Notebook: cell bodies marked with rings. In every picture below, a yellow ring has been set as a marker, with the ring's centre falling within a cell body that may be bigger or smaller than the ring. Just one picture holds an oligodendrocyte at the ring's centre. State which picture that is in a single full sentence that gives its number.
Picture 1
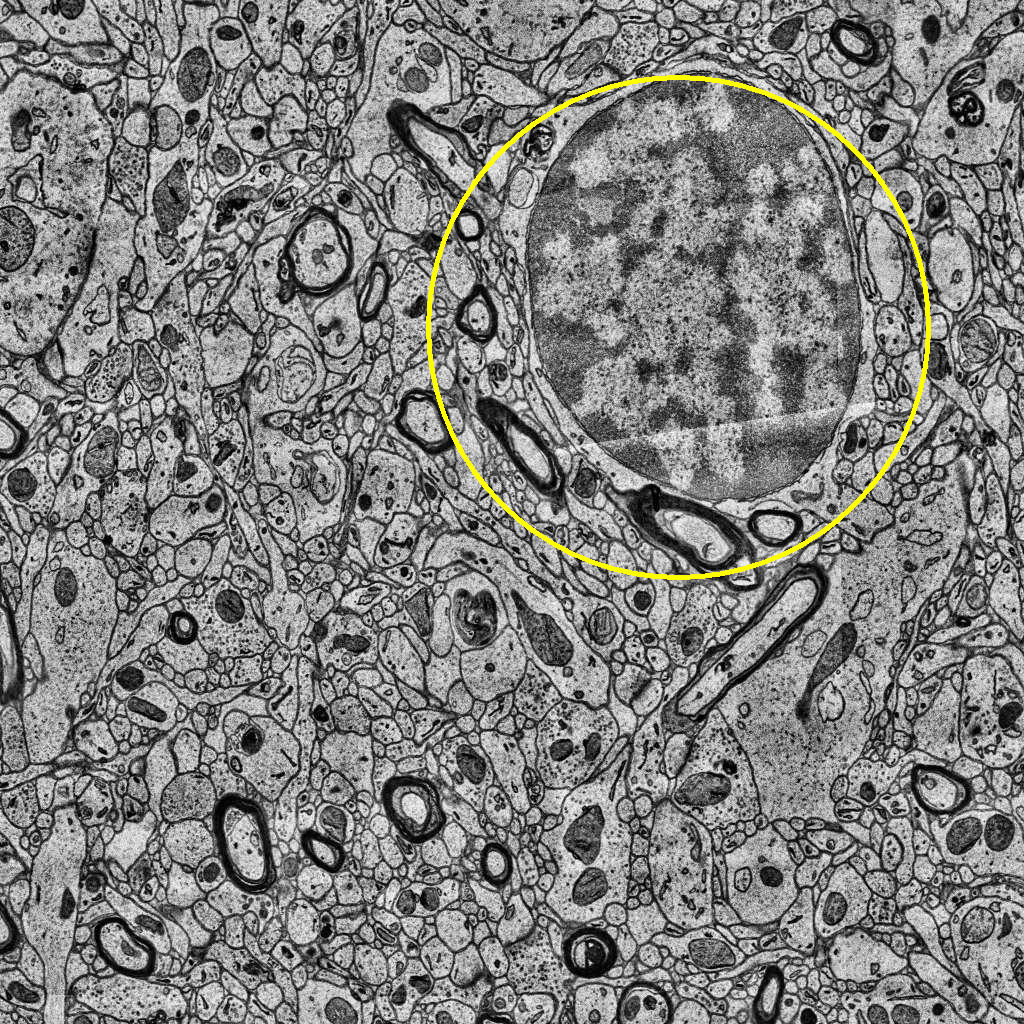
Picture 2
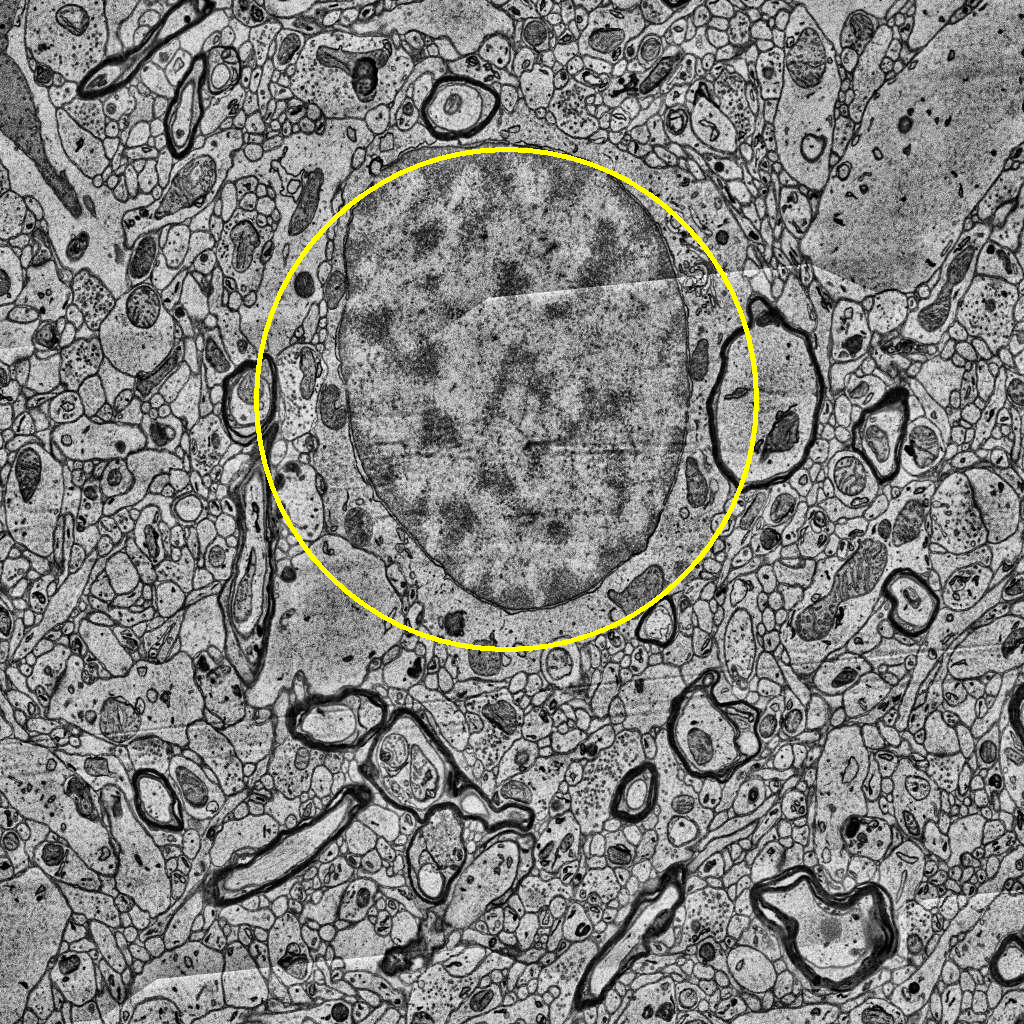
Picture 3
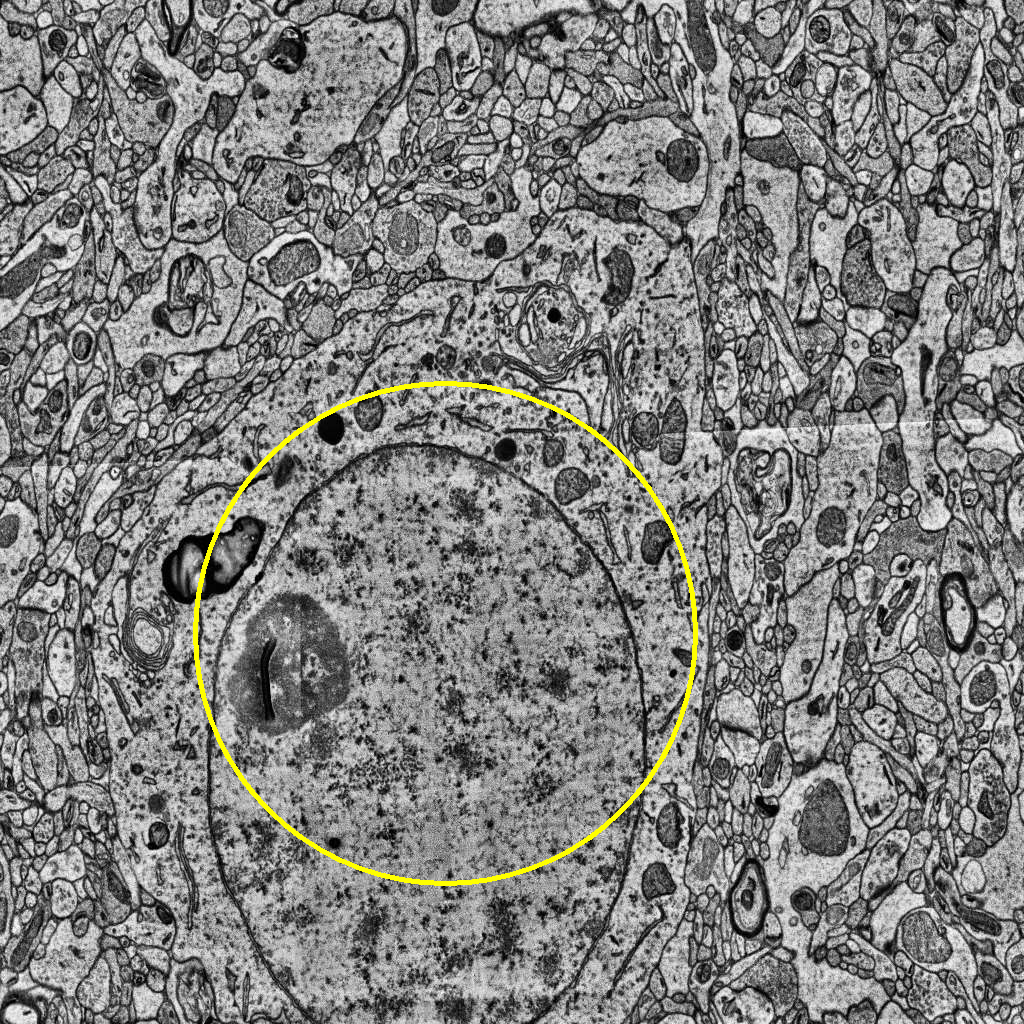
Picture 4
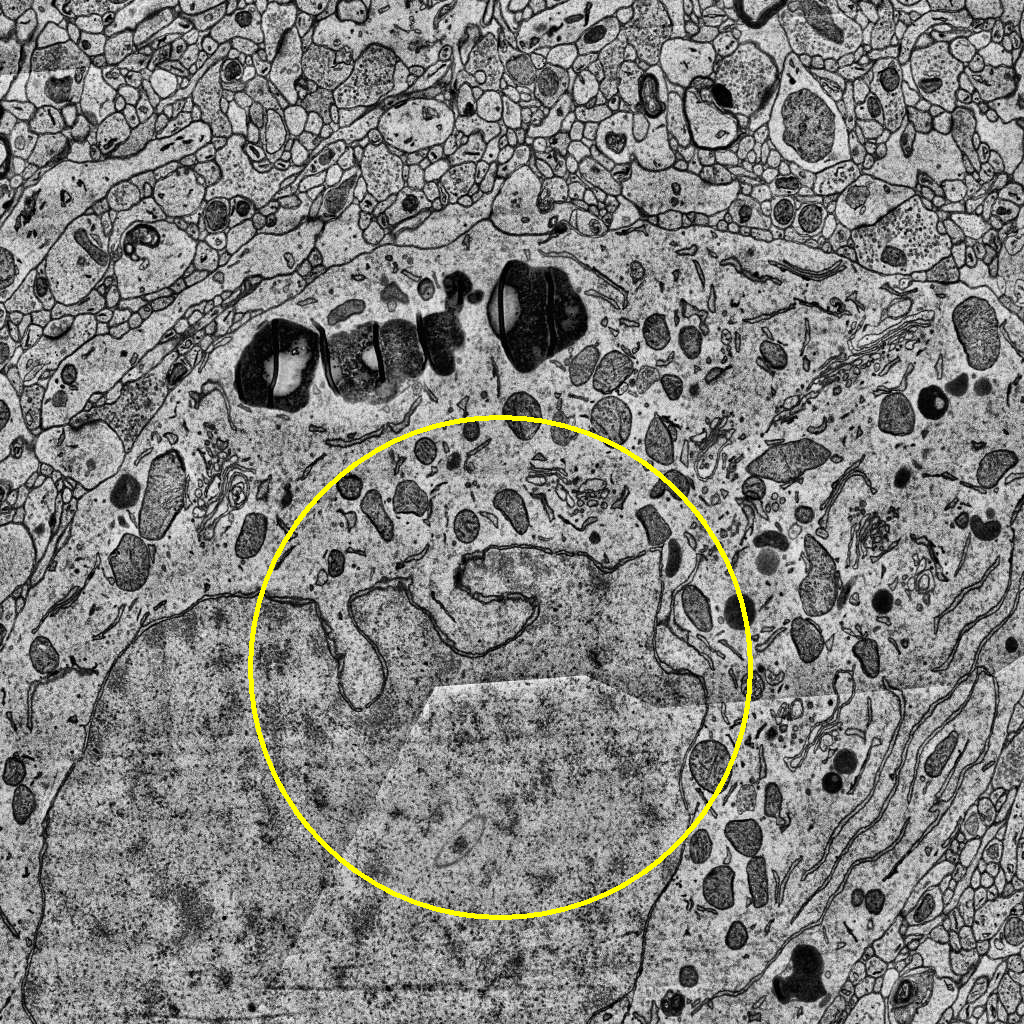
It is picture 2 whose ring has the wanted cell right at its centre.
